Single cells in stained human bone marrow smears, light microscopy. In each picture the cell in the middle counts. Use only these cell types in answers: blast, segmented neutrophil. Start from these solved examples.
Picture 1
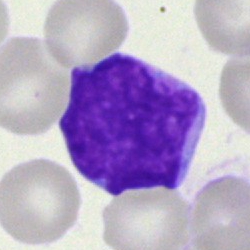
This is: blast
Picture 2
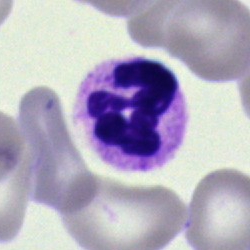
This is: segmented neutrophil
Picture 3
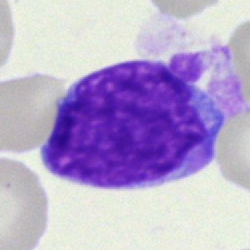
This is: blast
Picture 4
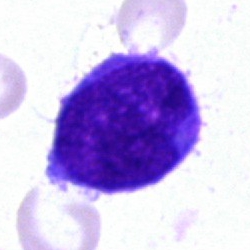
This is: blast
